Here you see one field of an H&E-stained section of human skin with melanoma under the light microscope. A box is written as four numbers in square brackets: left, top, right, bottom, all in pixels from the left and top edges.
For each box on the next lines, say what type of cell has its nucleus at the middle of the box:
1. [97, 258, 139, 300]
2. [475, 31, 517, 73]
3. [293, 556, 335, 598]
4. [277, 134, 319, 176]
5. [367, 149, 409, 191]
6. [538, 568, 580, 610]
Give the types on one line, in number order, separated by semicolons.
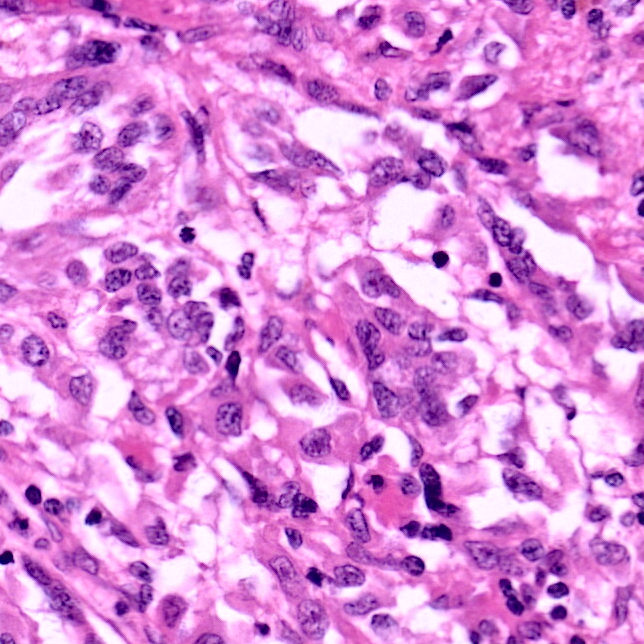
melanoma cell; melanoma cell; lymphocyte; melanoma cell; melanoma cell; lymphocyte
